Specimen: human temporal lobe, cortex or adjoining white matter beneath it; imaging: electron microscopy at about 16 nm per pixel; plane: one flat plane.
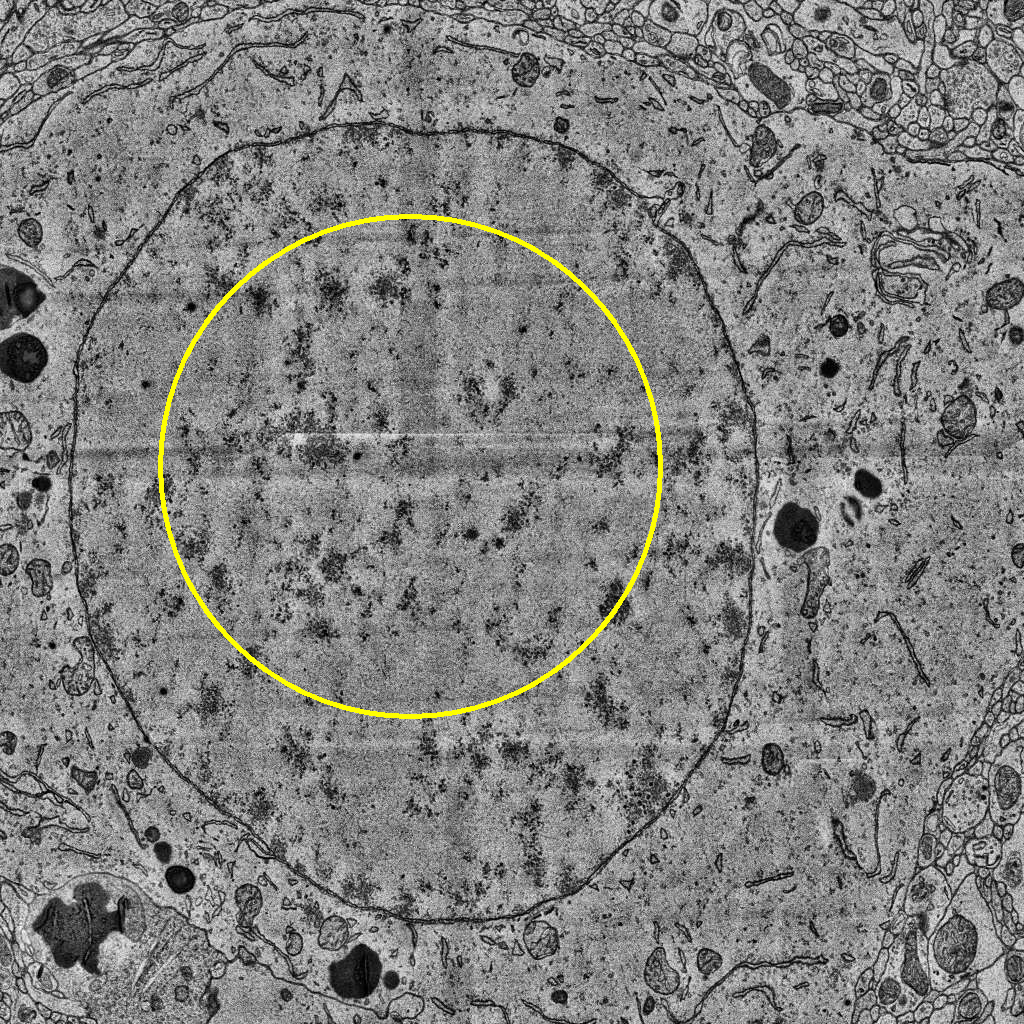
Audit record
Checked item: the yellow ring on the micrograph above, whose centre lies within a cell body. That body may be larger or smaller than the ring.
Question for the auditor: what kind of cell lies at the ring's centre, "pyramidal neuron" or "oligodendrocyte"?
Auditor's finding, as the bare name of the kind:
pyramidal neuron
